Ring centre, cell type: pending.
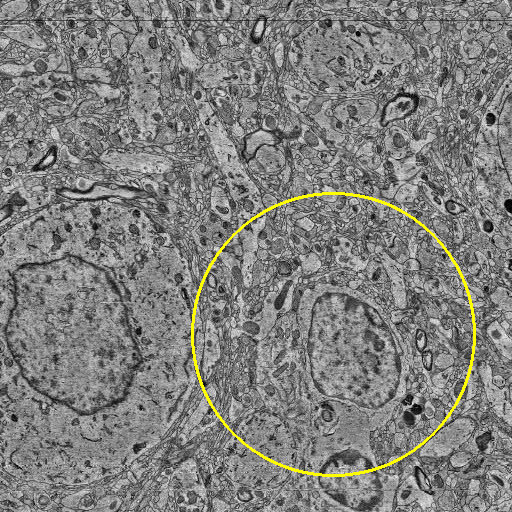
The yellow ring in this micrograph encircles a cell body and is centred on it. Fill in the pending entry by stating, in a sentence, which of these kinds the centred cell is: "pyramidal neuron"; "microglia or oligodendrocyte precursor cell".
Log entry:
The centred cell is recorded as a microglial cell or oligodendrocyte precursor cell.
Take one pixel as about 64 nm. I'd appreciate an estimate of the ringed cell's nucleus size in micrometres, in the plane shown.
Approximately 8 by 6 micrometers in this plane.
